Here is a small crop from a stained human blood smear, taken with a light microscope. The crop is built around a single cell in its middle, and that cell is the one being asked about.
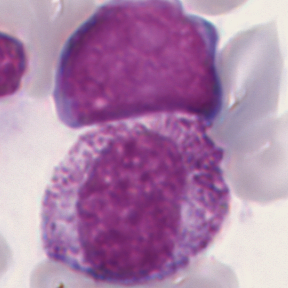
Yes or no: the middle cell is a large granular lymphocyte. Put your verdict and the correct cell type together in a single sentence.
No, the central cell is counted as a myelocyte instead of a large granular lymphocyte.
